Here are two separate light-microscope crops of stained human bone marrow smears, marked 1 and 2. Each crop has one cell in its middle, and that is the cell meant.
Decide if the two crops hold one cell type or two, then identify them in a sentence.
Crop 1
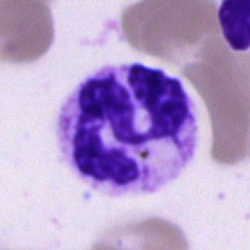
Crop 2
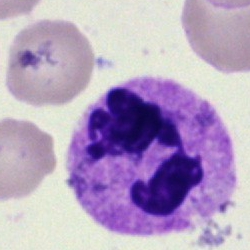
Yes, it is segmented neutrophils that sit at the centre of both crops.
